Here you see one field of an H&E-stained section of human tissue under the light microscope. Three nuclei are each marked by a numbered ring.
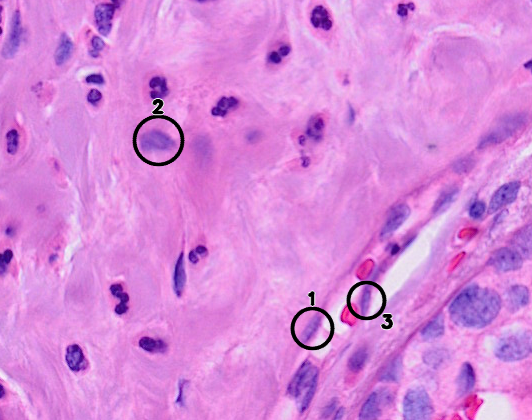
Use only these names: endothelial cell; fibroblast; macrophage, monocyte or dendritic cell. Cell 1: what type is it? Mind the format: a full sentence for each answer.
The cell to which the number 1 is assigned is an endothelial cell.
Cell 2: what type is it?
The cell to which the number 2 is assigned is a fibroblast.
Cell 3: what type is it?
The marked cell with the number 3 is recognised as an endothelial cell.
